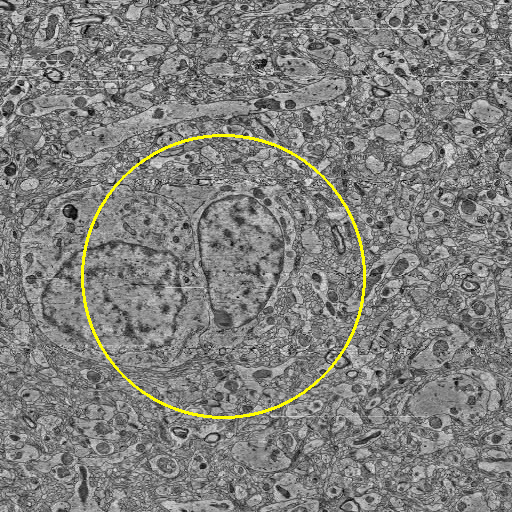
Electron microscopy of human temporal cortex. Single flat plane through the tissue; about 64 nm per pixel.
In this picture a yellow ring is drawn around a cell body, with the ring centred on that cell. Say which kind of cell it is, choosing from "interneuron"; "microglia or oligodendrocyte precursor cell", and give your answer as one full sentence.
Here it is a microglial cell or oligodendrocyte precursor cell that sits at the centre of the drawn yellow ring.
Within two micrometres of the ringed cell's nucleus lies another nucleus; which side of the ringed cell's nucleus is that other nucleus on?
The other nucleus lies to the left of it.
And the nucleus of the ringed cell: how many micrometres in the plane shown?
Approximately 9 by 6 micrometers in this plane.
